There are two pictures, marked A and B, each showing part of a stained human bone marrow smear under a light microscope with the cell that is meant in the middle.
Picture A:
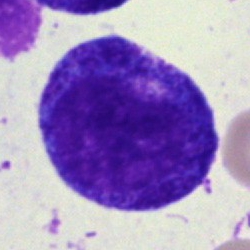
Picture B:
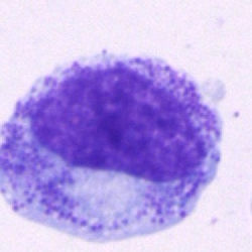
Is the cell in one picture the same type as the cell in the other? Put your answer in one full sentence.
Yes; the cells in both pictures are promyelocytes.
